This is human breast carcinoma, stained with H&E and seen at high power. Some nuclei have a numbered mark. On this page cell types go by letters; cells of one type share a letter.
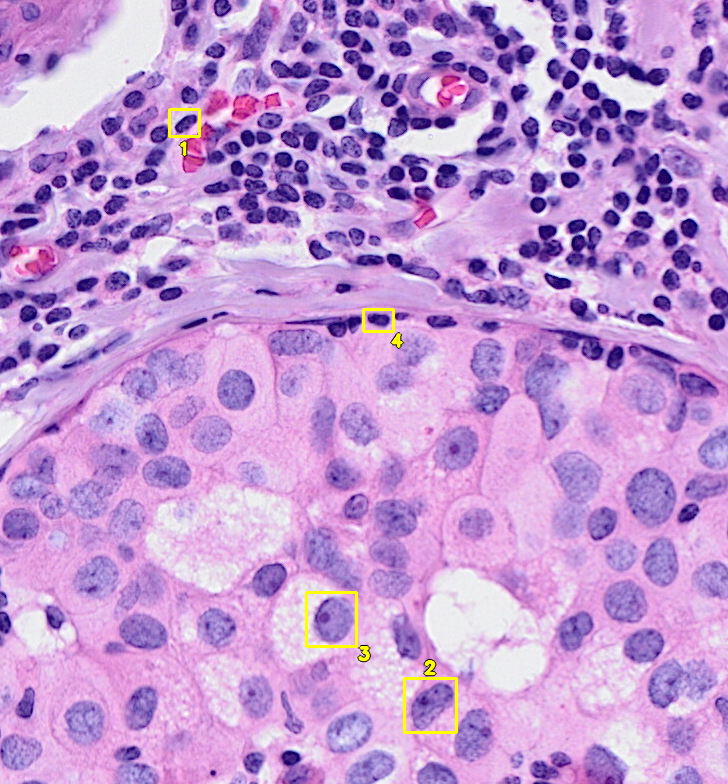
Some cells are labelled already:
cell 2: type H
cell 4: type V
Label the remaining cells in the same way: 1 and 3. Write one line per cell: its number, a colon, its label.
1: type V
3: type H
